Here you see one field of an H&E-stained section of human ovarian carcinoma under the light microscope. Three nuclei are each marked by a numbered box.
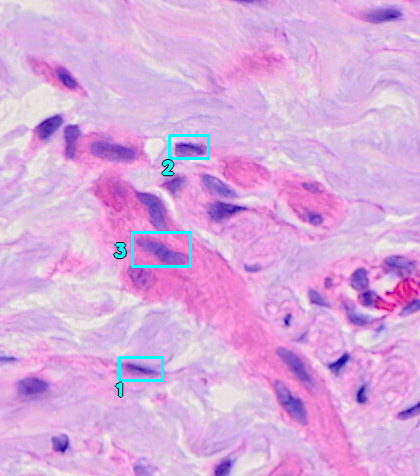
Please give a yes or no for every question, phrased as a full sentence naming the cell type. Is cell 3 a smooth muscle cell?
Yes, number 3 is assigned to a cell that is a smooth muscle cell.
